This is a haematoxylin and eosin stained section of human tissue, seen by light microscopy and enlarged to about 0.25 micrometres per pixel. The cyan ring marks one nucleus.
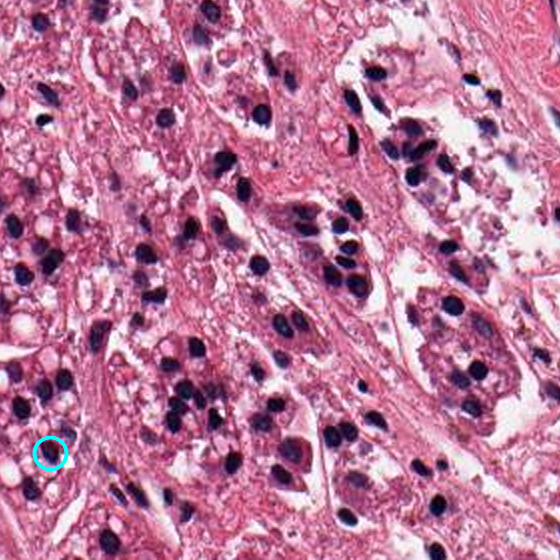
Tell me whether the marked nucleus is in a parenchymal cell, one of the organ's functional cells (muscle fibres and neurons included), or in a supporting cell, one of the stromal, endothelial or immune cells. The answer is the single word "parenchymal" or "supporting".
parenchymal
